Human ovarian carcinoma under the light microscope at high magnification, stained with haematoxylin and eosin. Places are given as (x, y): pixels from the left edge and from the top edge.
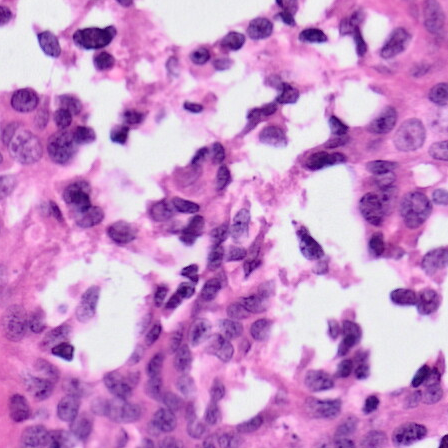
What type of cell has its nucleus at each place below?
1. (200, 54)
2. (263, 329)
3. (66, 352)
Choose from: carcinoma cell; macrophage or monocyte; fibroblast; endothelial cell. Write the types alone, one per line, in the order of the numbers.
macrophage or monocyte
carcinoma cell
carcinoma cell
